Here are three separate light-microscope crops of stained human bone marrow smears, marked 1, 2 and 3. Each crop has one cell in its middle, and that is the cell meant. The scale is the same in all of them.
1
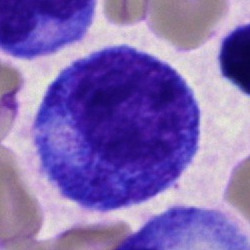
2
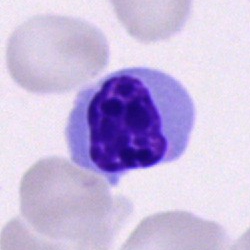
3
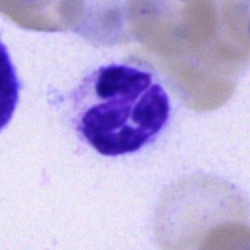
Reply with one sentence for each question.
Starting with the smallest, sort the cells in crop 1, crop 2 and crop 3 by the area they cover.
Smallest first: 3, 2, 1.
